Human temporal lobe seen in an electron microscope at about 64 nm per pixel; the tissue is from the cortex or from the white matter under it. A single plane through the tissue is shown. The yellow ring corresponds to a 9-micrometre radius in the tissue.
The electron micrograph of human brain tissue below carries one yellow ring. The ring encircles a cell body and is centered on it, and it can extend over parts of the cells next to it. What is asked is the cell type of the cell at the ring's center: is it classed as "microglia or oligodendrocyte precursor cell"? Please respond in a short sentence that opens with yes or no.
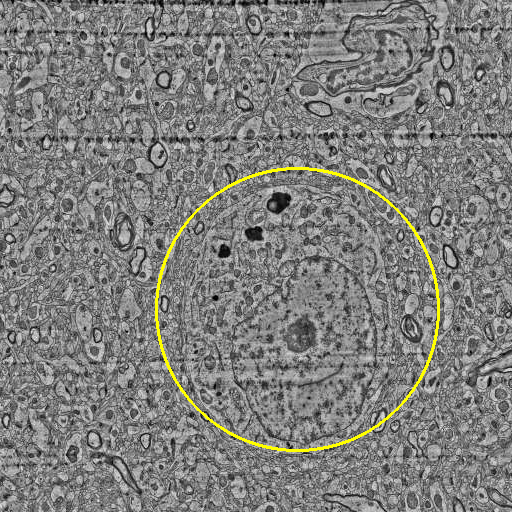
No, it is classed otherwise.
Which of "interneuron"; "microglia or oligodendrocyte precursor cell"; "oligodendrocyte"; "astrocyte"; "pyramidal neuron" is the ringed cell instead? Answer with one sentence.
Sitting at the ring centre is an interneuron.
